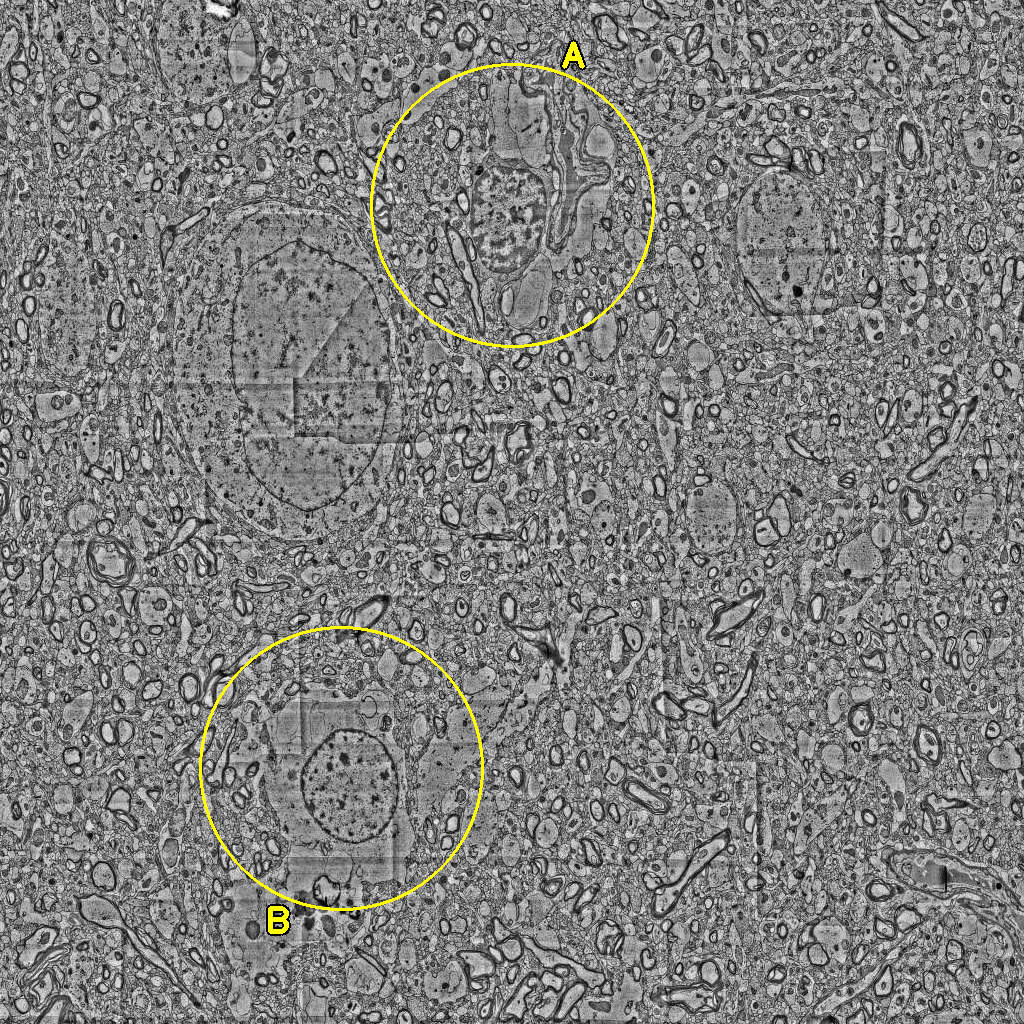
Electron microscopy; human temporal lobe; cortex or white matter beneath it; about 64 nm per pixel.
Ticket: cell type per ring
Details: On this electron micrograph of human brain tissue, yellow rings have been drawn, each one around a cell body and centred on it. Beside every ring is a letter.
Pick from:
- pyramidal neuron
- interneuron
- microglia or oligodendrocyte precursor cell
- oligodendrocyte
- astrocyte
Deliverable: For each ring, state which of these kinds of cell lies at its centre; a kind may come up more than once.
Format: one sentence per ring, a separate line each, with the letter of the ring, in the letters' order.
The cell body ringed as A belongs to an oligodendrocyte.
The cell body ringed as B belongs to an astrocyte.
